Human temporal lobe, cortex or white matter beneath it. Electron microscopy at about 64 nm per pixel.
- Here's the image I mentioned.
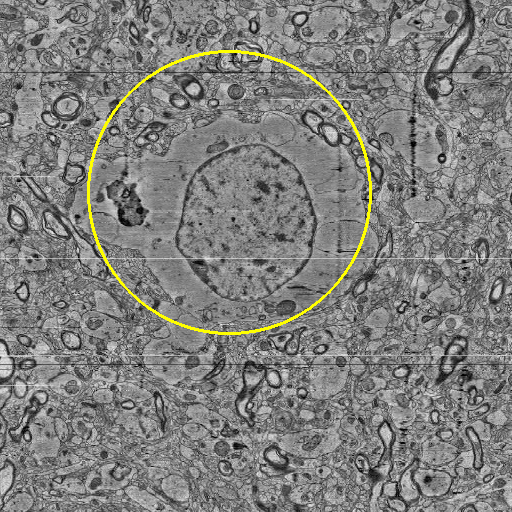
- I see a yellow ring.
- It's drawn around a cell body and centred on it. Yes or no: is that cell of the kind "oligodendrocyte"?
no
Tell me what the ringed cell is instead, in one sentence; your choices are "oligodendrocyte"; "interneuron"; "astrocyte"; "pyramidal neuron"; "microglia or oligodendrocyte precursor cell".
Instead, the ring in this picture marks an astrocyte.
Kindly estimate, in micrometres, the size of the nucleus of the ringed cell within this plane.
Approximately 10 micrometres long and 9 micrometres wide, in this plane.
